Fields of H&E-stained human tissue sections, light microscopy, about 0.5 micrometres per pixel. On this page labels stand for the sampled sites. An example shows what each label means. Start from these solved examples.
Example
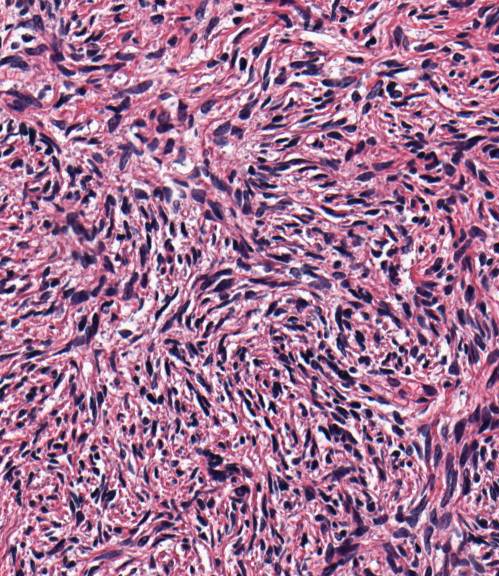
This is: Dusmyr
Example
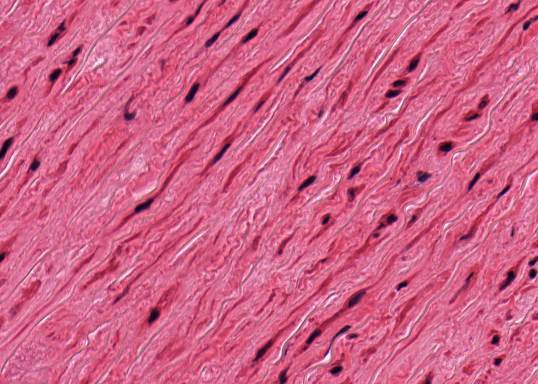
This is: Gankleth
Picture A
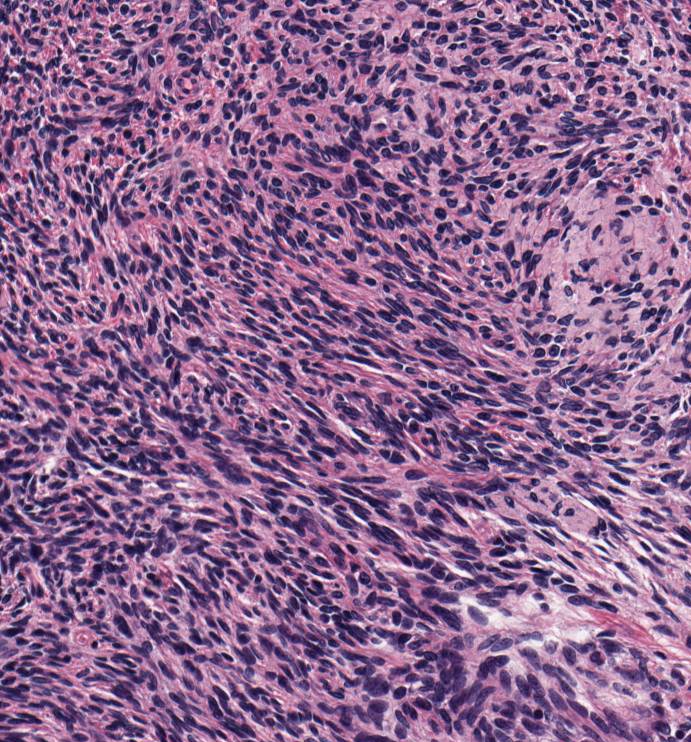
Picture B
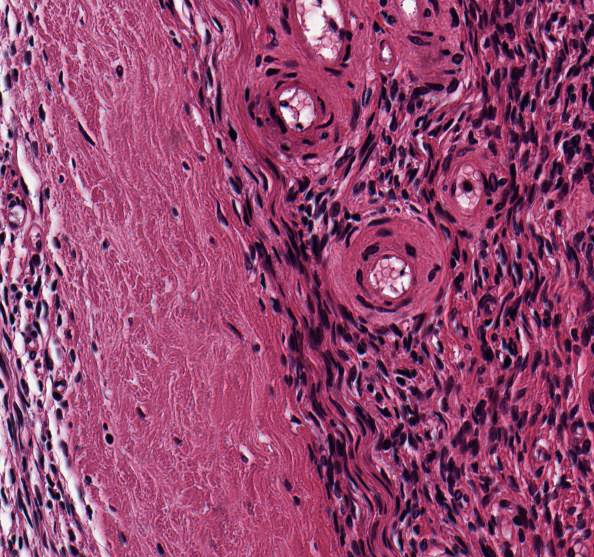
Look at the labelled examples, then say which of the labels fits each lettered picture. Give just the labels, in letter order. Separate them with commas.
Dusmyr, Dusmyr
